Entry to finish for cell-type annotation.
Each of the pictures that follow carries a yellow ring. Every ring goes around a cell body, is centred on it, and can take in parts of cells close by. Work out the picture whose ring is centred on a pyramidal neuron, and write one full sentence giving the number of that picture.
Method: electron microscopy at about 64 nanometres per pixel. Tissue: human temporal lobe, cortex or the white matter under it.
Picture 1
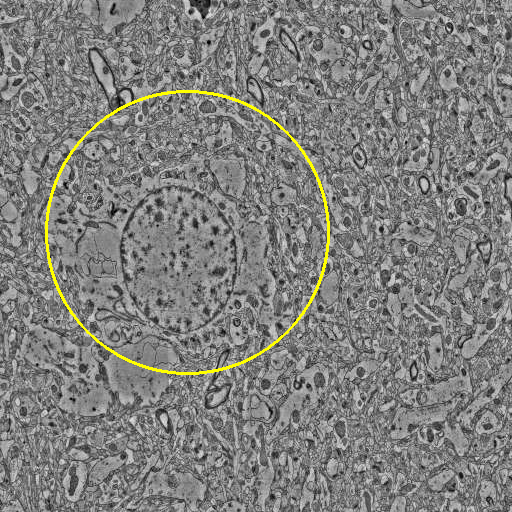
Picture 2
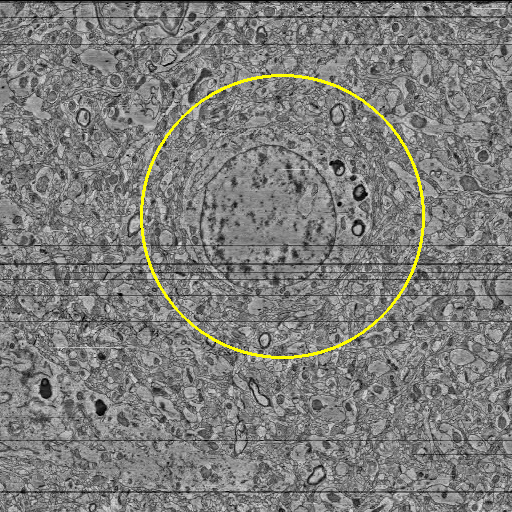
The cell at the heart of the ring in picture 2 matches the request.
